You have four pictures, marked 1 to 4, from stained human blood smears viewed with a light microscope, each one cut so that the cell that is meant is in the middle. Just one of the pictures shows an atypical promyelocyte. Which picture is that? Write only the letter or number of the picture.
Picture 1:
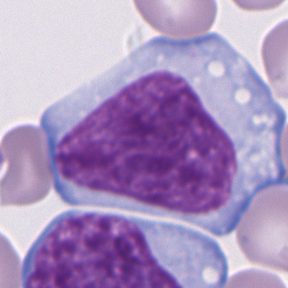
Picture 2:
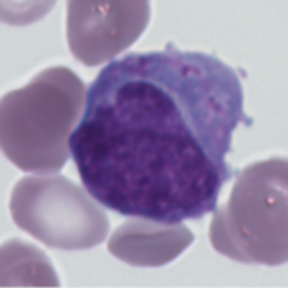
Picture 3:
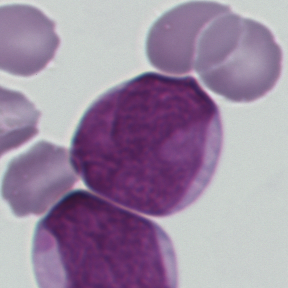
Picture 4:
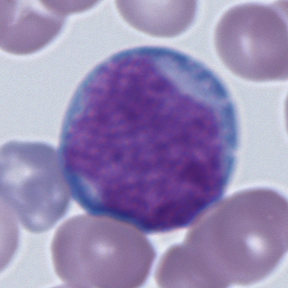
2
